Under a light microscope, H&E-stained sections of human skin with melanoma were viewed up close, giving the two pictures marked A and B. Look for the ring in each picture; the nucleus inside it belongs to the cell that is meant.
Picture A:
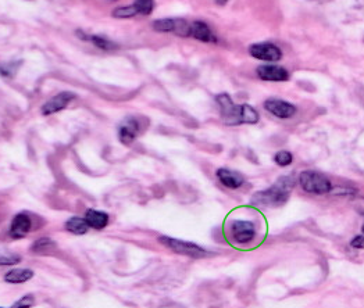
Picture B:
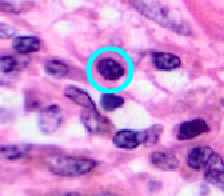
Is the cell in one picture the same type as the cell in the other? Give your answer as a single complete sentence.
Yes, they are the same type: both are plasma cells.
